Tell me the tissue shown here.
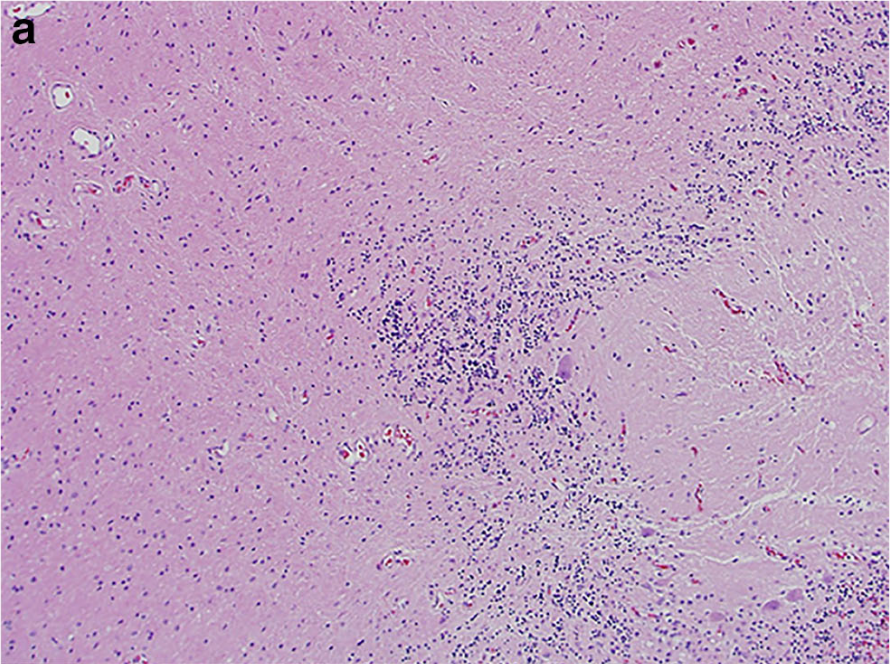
cerebellum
